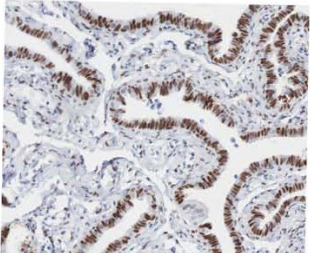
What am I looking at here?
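This is the mucosa of a fallopian tube, thrown into branching folds covered by a single layer of tall columnar epithelial cells. Nearly every epithelial nucleus is stained dark brown, and the nuclei are elongated and stand side by side. The thin cores of the folds are made of loose connective tissue whose scattered nuclei are mostly blue. Open spaces of the tubal lumen lie between the folds.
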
